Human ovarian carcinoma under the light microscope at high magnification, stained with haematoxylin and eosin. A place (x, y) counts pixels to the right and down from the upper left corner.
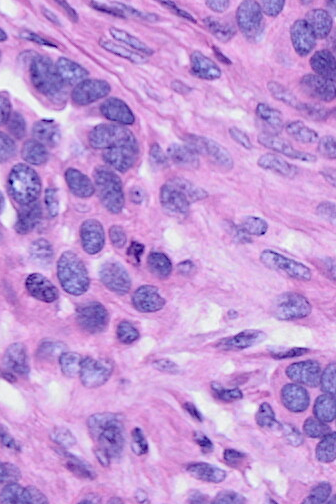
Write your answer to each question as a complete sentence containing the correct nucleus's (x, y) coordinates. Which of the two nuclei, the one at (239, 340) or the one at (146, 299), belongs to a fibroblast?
The nucleus positioned at (239, 340) is the one that belongs to a fibroblast.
